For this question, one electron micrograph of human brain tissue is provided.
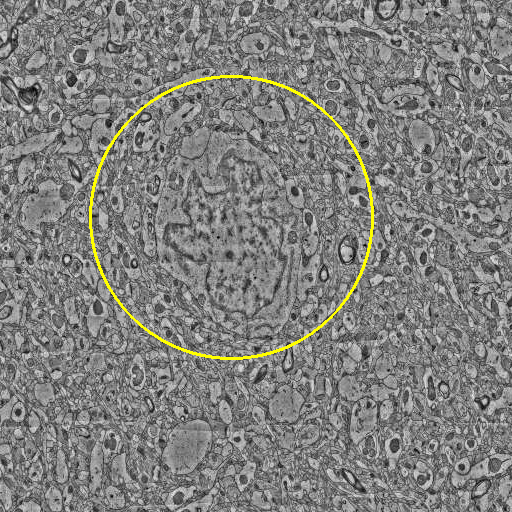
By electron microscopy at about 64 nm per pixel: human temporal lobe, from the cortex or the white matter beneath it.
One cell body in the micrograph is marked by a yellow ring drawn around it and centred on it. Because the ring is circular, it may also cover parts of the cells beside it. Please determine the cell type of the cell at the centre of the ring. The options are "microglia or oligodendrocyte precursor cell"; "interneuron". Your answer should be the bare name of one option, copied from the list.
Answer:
interneuron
